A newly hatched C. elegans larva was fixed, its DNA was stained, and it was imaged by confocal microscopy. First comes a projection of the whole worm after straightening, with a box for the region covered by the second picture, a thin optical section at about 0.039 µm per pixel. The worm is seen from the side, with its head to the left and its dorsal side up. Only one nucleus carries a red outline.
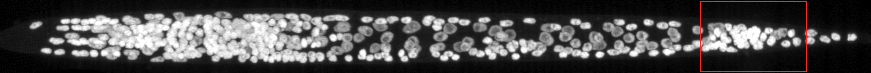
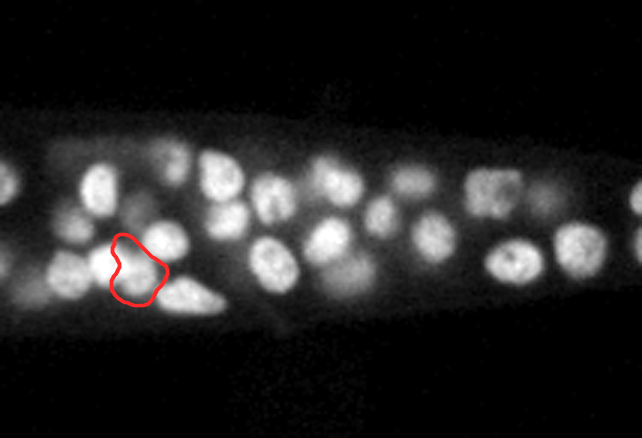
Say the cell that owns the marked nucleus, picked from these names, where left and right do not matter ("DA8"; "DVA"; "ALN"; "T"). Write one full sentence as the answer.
The cell whose nucleus is marked is DA8, a neuron.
